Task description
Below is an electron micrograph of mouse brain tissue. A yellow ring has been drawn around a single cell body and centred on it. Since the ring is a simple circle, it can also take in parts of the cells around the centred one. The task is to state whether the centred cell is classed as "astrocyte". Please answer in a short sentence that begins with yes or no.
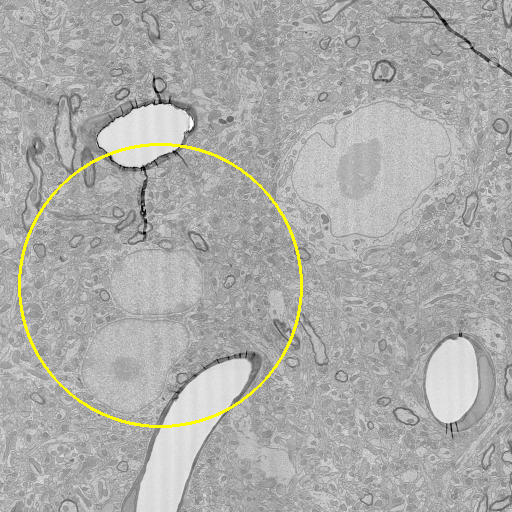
Yes, the centred cell is classed that way.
